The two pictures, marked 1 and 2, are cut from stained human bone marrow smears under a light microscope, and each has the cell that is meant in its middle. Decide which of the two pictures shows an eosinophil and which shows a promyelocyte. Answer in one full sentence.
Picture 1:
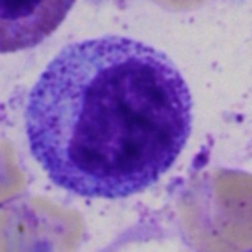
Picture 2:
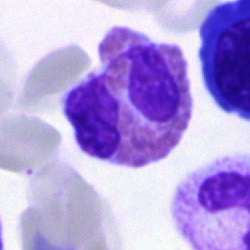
The cell in picture 1 is a promyelocyte, and the one in picture 2 is an eosinophil.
